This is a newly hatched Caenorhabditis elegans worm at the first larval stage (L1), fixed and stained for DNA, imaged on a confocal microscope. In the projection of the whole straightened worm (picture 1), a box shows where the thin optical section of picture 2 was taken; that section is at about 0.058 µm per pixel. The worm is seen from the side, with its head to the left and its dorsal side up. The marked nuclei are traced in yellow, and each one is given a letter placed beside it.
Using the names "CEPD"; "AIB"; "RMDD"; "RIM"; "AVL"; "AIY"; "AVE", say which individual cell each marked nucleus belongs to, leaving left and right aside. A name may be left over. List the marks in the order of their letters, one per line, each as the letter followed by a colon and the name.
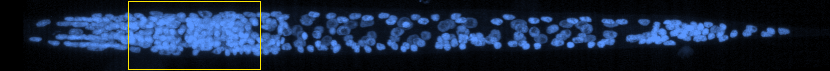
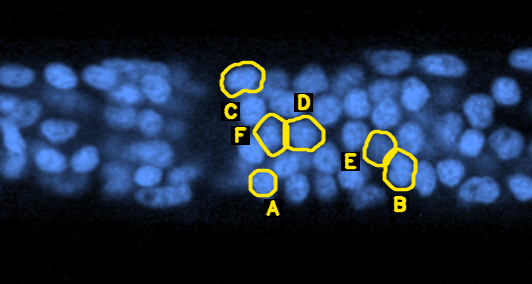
A: RMDD
B: AIY
C: CEPD
D: AIB
E: RIM
F: AVE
